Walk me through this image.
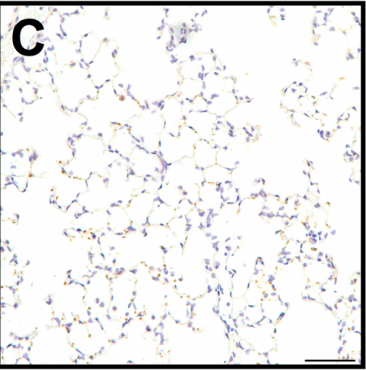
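Lung parenchyma with a dense lace of thin alveolar septa enclosing small polygonal air spaces. Septa are one to a few cells thick and carry small oval to elongated blue nuclei. Fine brown granular deposits lie along the septal walls throughout the field, mostly as small dots rather than whole stained cells. Air spaces are empty and clear.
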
